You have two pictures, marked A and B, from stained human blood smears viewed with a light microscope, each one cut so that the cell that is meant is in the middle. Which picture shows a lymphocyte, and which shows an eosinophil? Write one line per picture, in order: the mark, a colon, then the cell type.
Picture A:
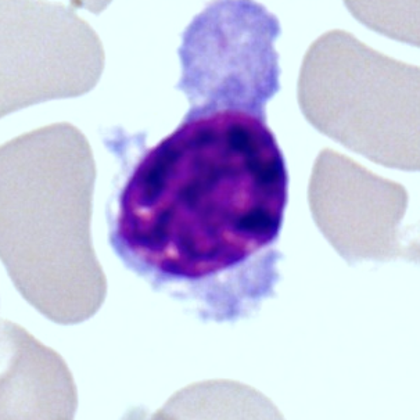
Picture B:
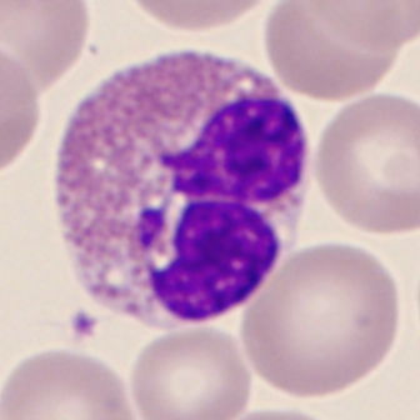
A: lymphocyte
B: eosinophil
